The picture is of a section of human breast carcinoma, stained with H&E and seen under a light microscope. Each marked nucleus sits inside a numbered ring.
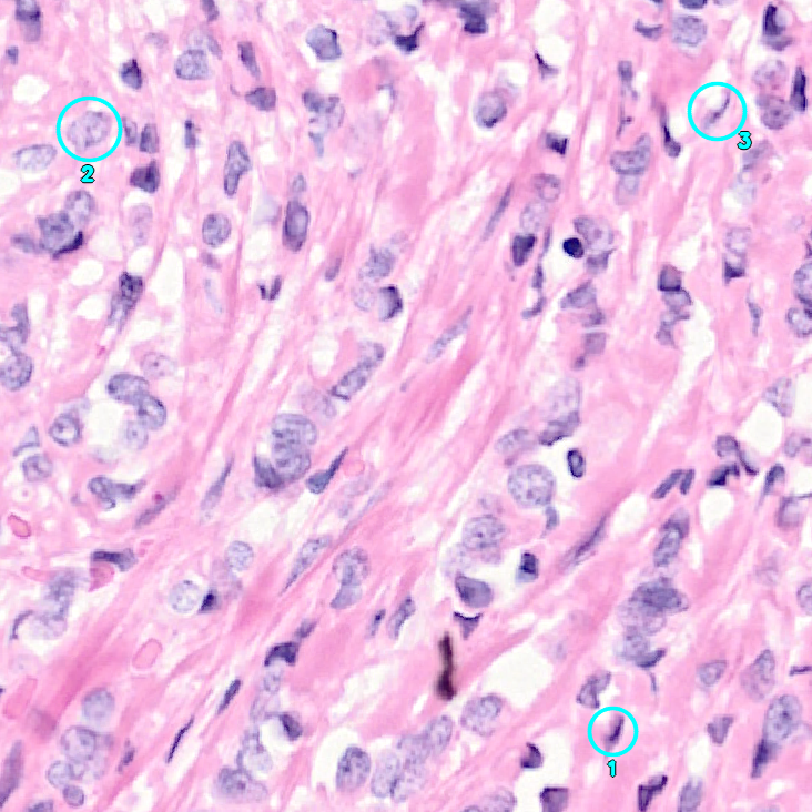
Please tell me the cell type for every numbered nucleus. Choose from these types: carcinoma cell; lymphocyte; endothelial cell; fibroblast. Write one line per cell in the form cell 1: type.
cell 1: fibroblast
cell 2: carcinoma cell
cell 3: fibroblast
